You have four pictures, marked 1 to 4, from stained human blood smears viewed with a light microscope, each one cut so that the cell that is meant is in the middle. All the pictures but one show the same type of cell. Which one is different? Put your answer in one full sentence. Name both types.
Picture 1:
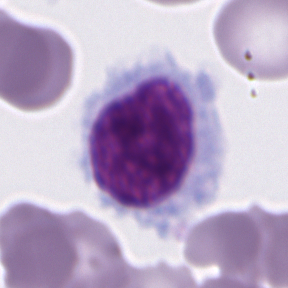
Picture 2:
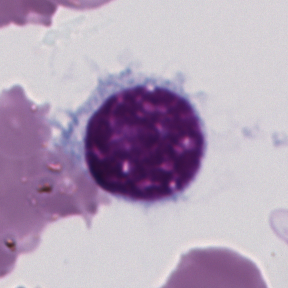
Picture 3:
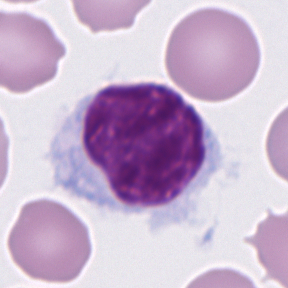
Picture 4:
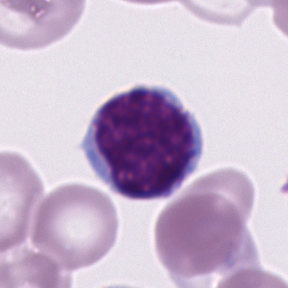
Picture 4 differs, because its cell is a typical lymphocyte and the rest are hairy cells.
